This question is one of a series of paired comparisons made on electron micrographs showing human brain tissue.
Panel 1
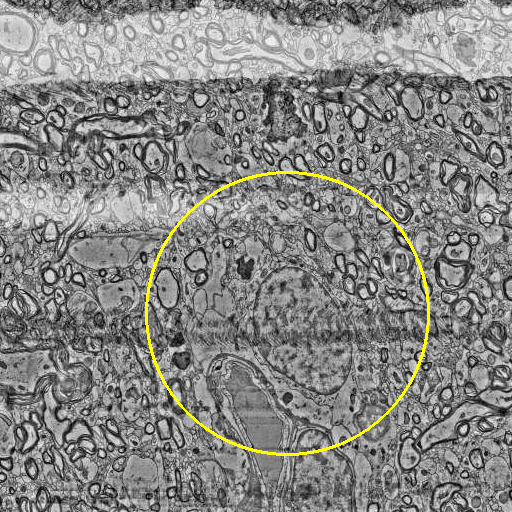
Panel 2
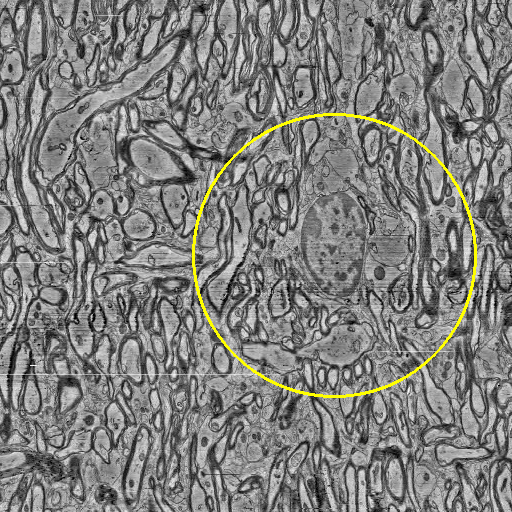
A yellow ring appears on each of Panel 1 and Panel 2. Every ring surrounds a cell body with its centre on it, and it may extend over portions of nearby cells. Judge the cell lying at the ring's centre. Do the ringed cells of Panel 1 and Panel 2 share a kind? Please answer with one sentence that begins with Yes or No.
Yes, the ring-centre cell in Panel 1 and the one in Panel 2 are of one kind.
